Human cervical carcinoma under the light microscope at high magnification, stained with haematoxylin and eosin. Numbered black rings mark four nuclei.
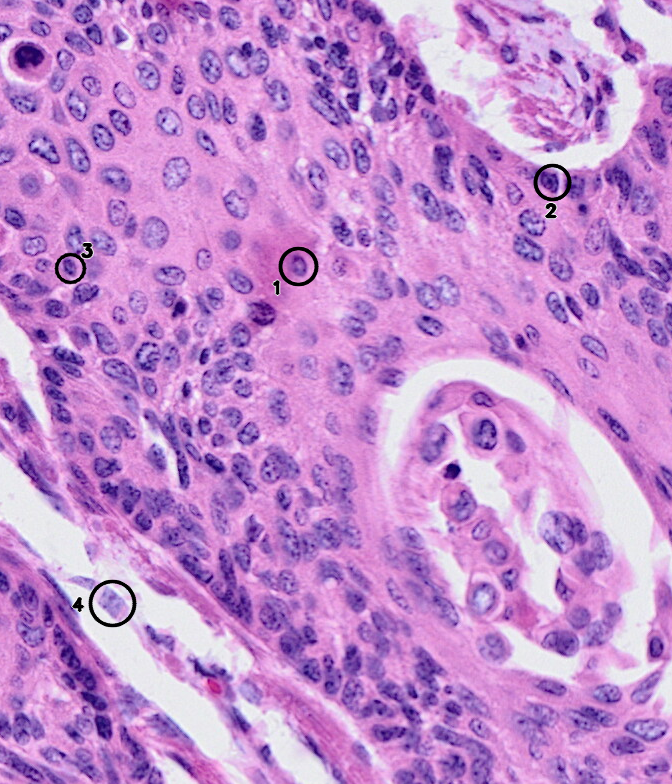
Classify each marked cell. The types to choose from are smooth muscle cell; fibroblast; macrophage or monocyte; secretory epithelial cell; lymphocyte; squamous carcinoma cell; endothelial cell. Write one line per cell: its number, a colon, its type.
1: squamous carcinoma cell
2: squamous carcinoma cell
3: squamous carcinoma cell
4: fibroblast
